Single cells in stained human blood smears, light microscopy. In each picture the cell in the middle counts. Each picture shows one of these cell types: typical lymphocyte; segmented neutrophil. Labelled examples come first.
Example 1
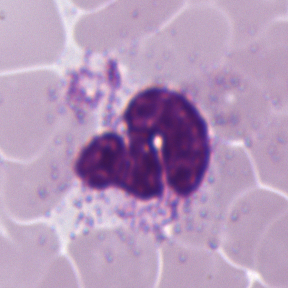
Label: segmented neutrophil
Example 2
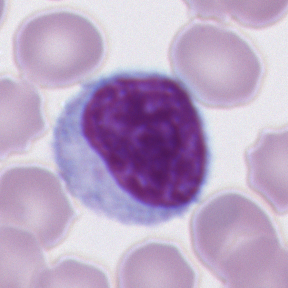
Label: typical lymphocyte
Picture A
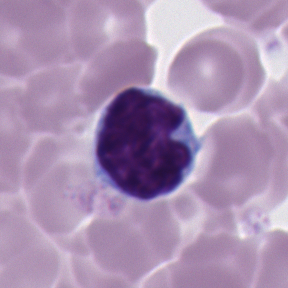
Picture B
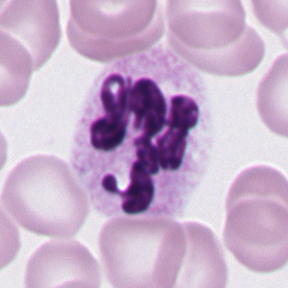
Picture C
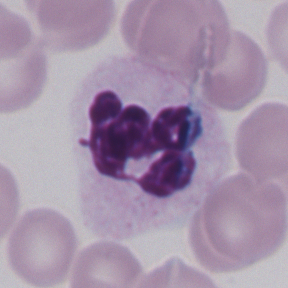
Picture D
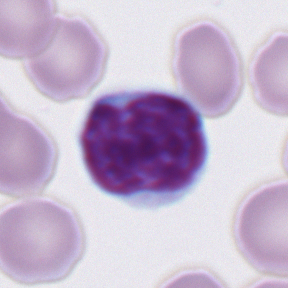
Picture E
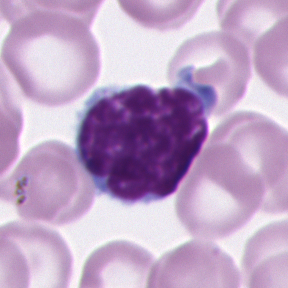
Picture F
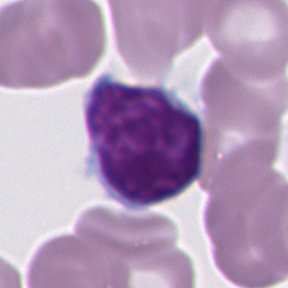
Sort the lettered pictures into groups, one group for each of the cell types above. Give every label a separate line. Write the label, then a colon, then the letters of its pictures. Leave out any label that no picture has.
typical lymphocyte: A, D, E, F
segmented neutrophil: B, C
